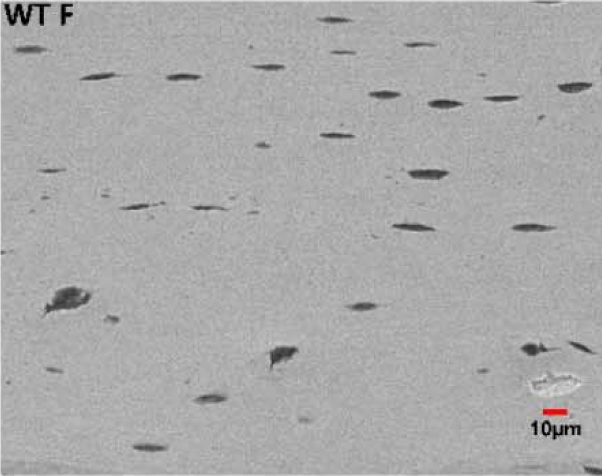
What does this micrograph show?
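The bone matrix appears as an even, mid-grey field without visible cells, because mineral scatters electrons strongly. Scattered through it are many small dark spaces, the lacunae that housed osteocytes. Most are elongated and spindle- or lens-shaped, with their long axes lying roughly parallel to each other, while a few appear rounder or more irregular. A few larger dark irregular areas lie near the edges and lower part of the field, and a small bright, ragged fragment is seen near the bottom.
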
